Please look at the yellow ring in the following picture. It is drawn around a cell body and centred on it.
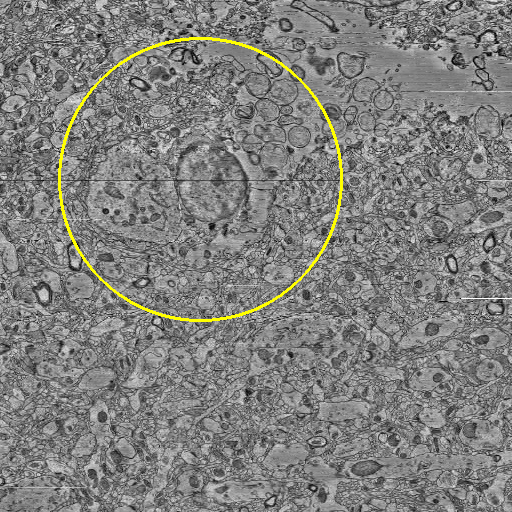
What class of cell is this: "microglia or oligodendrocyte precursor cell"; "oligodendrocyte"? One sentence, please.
The ring surrounds the cell body of an oligodendrocyte.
